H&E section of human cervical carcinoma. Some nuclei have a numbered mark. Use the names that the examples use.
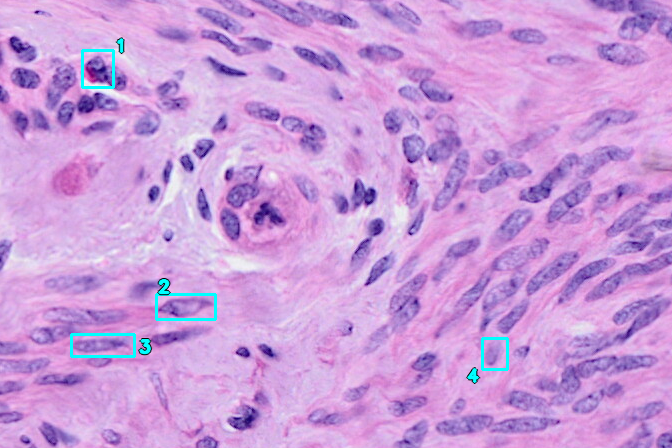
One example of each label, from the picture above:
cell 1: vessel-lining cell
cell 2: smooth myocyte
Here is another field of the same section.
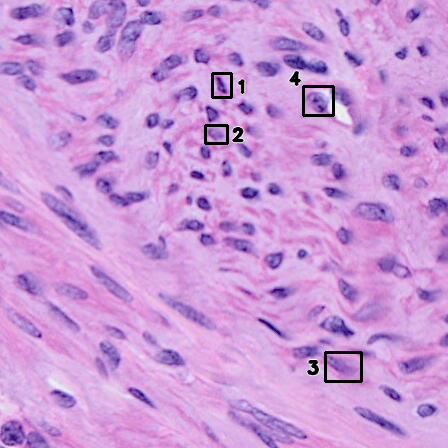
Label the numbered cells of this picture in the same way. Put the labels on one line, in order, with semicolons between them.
smooth myocyte; smooth myocyte; smooth myocyte; vessel-lining cell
